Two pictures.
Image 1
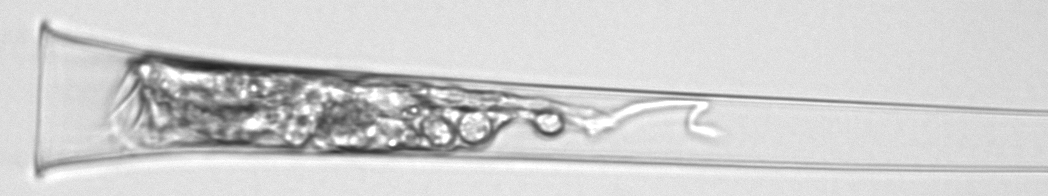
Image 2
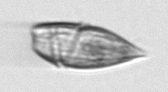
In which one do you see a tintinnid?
In picture 1.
